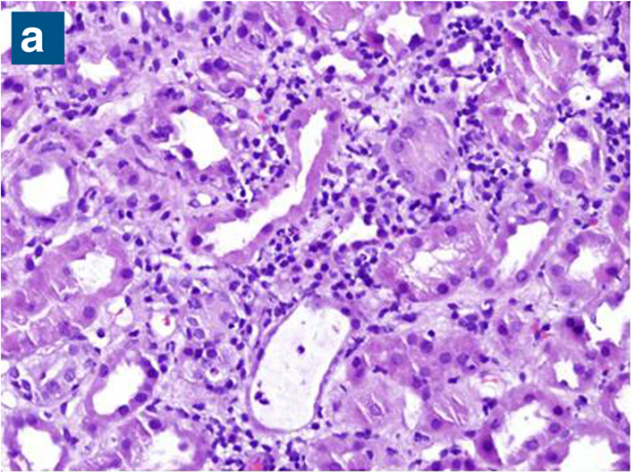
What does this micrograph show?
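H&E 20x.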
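This section of renal cortex shows tubules set in an interstitium that is heavily infiltrated by inflammatory cells. The infiltrate consists of many small cells with dark, round nuclei that crowd the spaces between tubules. The tubules are lined by pink epithelial cells, several of which are flattened around widened lumens. Some tubular lumens contain pale, faintly stained material. The inflammation and the altered tubules together form a picture of tubulointerstitial injury.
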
